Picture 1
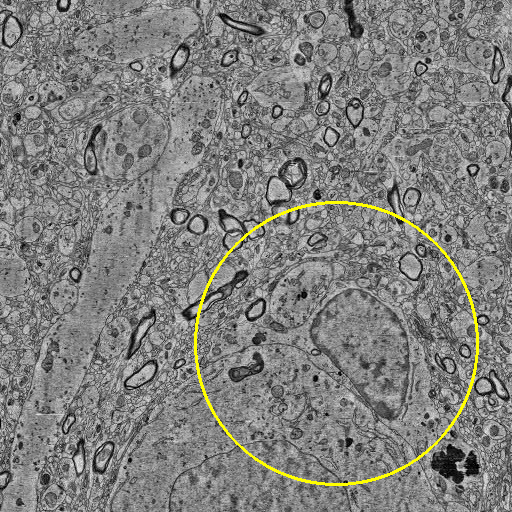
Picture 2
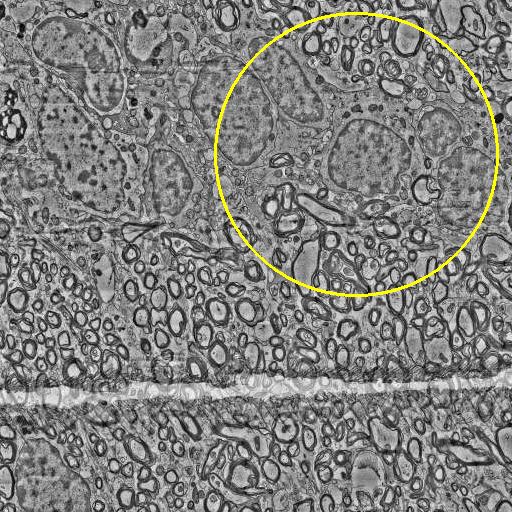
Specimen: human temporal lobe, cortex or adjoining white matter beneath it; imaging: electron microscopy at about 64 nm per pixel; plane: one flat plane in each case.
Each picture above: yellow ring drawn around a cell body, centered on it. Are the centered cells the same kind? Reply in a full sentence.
No, the two cells are two kinds of cell.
